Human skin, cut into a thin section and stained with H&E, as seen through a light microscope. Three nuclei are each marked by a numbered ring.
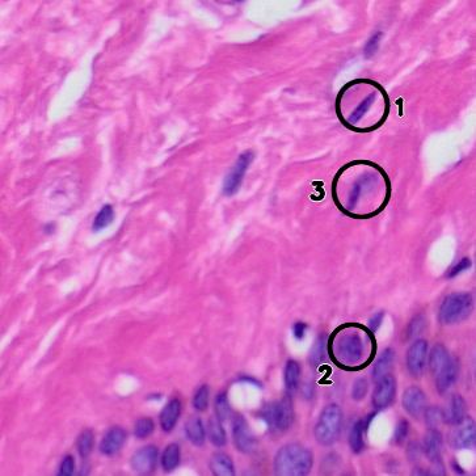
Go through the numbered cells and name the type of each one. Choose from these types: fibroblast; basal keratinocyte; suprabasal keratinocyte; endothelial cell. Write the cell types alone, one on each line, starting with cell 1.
fibroblast
basal keratinocyte
fibroblast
